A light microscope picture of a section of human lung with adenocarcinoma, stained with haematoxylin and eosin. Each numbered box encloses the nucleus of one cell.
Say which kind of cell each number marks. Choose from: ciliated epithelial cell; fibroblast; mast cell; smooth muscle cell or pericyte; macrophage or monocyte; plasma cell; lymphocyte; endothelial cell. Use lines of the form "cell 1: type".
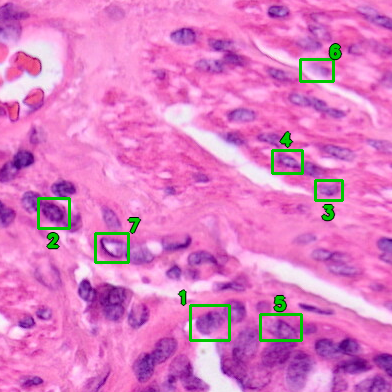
cell 1: ciliated epithelial cell
cell 2: plasma cell
cell 3: smooth muscle cell or pericyte
cell 4: smooth muscle cell or pericyte
cell 5: ciliated epithelial cell
cell 6: smooth muscle cell or pericyte
cell 7: endothelial cell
